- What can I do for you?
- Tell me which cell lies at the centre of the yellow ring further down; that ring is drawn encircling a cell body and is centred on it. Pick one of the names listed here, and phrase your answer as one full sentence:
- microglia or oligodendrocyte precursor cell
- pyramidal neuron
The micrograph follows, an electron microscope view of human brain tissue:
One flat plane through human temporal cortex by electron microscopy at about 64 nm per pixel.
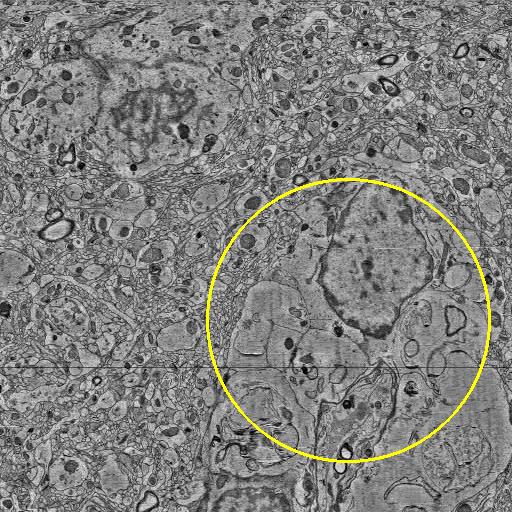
The cell whose body lies at the centre of the yellow ring is a microglial cell or oligodendrocyte precursor cell.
